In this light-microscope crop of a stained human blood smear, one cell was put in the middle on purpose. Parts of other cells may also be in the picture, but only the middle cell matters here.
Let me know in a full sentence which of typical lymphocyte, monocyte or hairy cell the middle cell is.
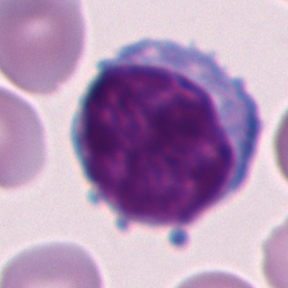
Present in the middle of the crop is a typical lymphocyte.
